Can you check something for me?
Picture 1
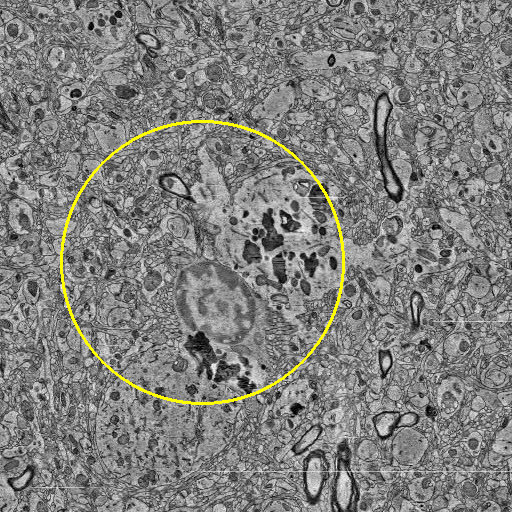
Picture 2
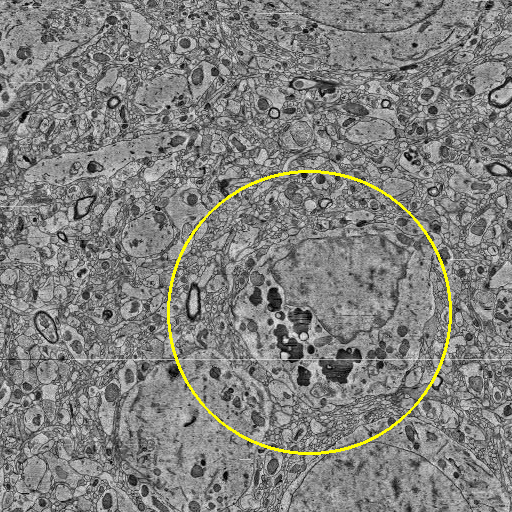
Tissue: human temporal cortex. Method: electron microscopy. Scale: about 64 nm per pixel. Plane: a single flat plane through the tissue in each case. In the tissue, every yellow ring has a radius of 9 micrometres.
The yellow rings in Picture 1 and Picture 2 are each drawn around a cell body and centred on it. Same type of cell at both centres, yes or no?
no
